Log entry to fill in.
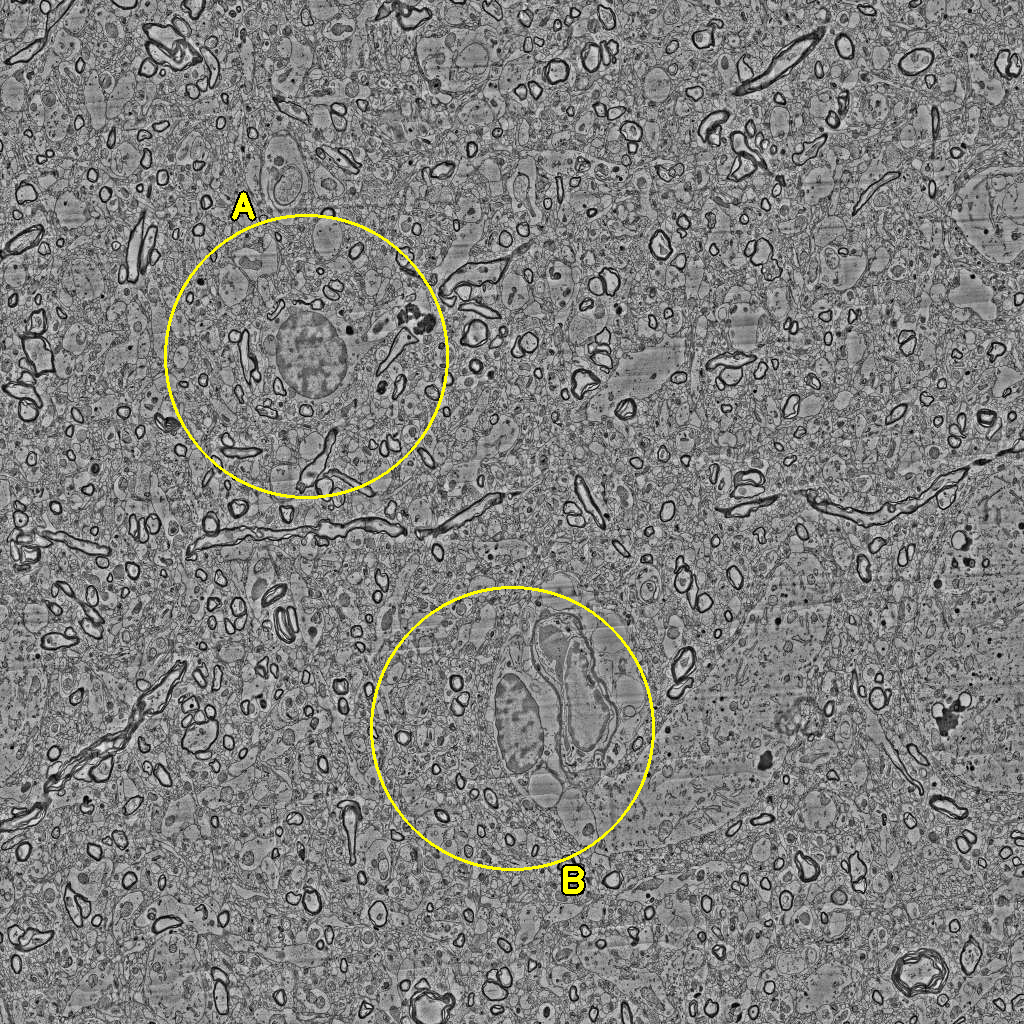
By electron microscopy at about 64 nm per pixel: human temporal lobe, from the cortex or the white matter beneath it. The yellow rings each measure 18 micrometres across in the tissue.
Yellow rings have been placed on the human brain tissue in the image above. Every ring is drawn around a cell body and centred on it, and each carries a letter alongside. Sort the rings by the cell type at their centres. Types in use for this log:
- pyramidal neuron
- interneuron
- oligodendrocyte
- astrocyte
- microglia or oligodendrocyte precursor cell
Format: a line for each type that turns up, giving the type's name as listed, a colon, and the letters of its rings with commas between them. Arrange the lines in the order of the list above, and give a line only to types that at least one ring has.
oligodendrocyte: A
microglia or oligodendrocyte precursor cell: B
